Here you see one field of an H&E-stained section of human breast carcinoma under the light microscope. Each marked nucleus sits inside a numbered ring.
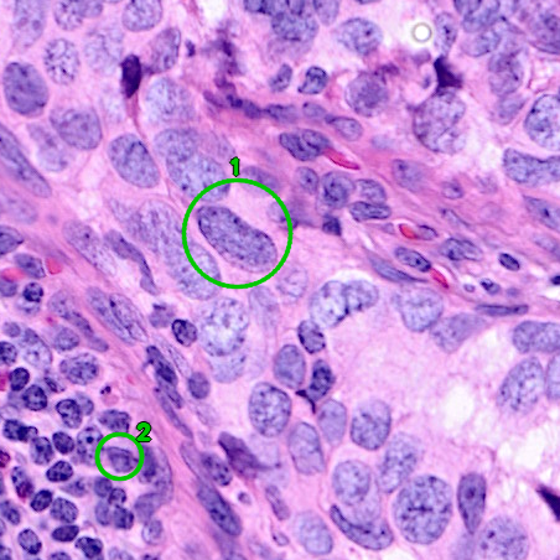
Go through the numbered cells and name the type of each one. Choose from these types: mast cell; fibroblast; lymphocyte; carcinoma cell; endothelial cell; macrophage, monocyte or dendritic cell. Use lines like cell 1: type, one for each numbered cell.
cell 1: carcinoma cell
cell 2: lymphocyte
